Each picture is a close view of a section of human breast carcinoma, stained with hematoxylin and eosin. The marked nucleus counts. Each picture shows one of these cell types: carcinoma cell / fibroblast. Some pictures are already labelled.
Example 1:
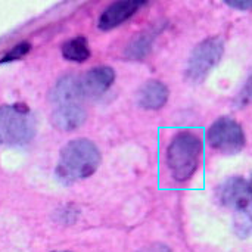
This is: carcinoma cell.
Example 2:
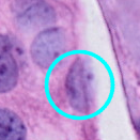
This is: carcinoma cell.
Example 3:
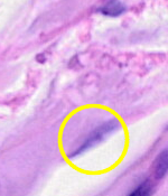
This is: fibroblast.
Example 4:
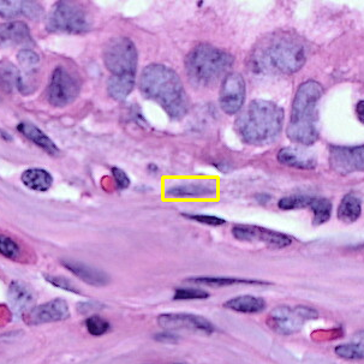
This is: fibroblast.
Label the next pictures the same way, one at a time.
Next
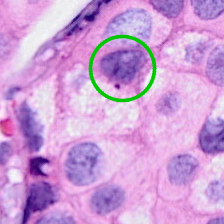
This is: carcinoma cell.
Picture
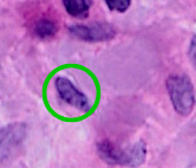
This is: fibroblast.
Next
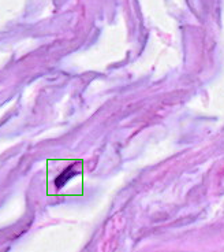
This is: fibroblast.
